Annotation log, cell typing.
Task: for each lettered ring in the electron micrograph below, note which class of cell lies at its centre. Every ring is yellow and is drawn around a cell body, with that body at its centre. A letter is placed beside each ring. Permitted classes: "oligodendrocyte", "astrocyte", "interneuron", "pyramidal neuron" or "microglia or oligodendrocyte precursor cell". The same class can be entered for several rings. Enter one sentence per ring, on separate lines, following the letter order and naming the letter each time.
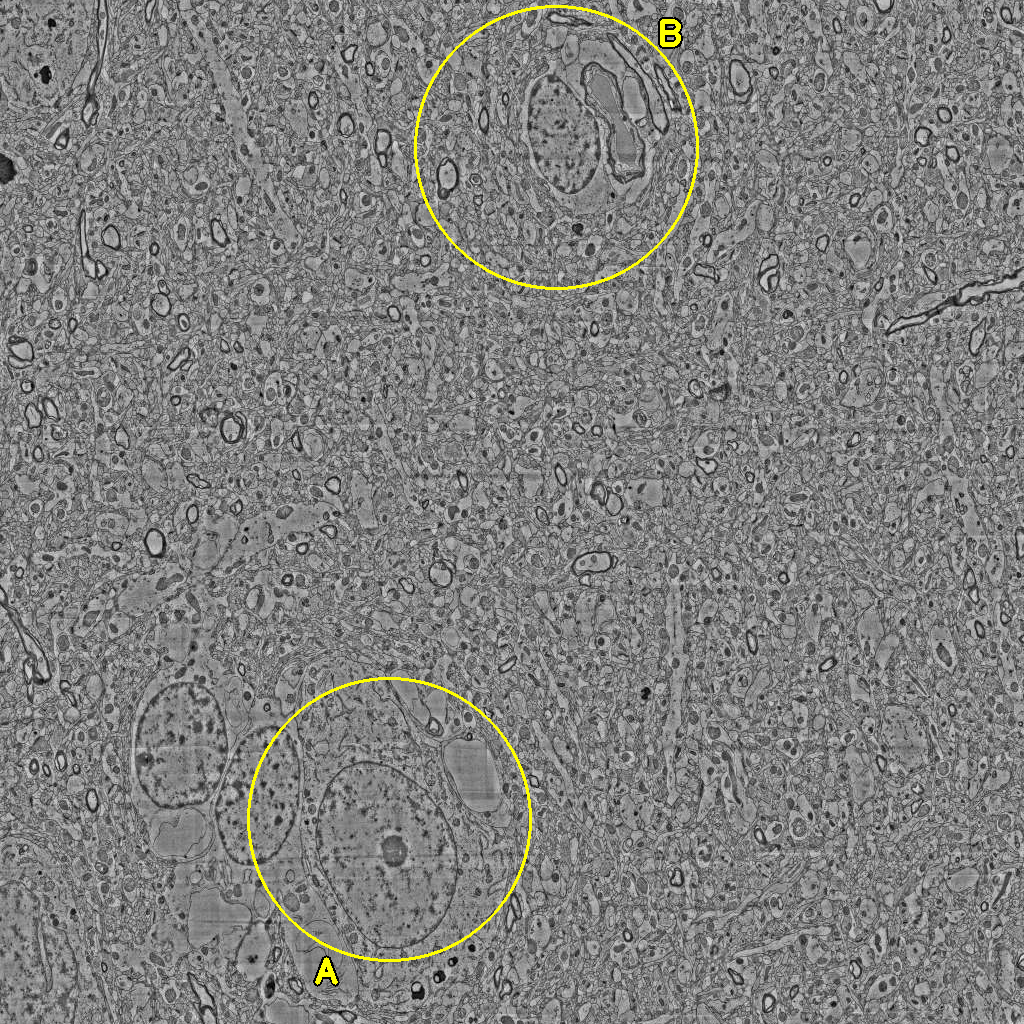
The cell at the centre of ring A is a pyramidal neuron.
The cell at the centre of ring B is a microglial cell or oligodendrocyte precursor cell.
